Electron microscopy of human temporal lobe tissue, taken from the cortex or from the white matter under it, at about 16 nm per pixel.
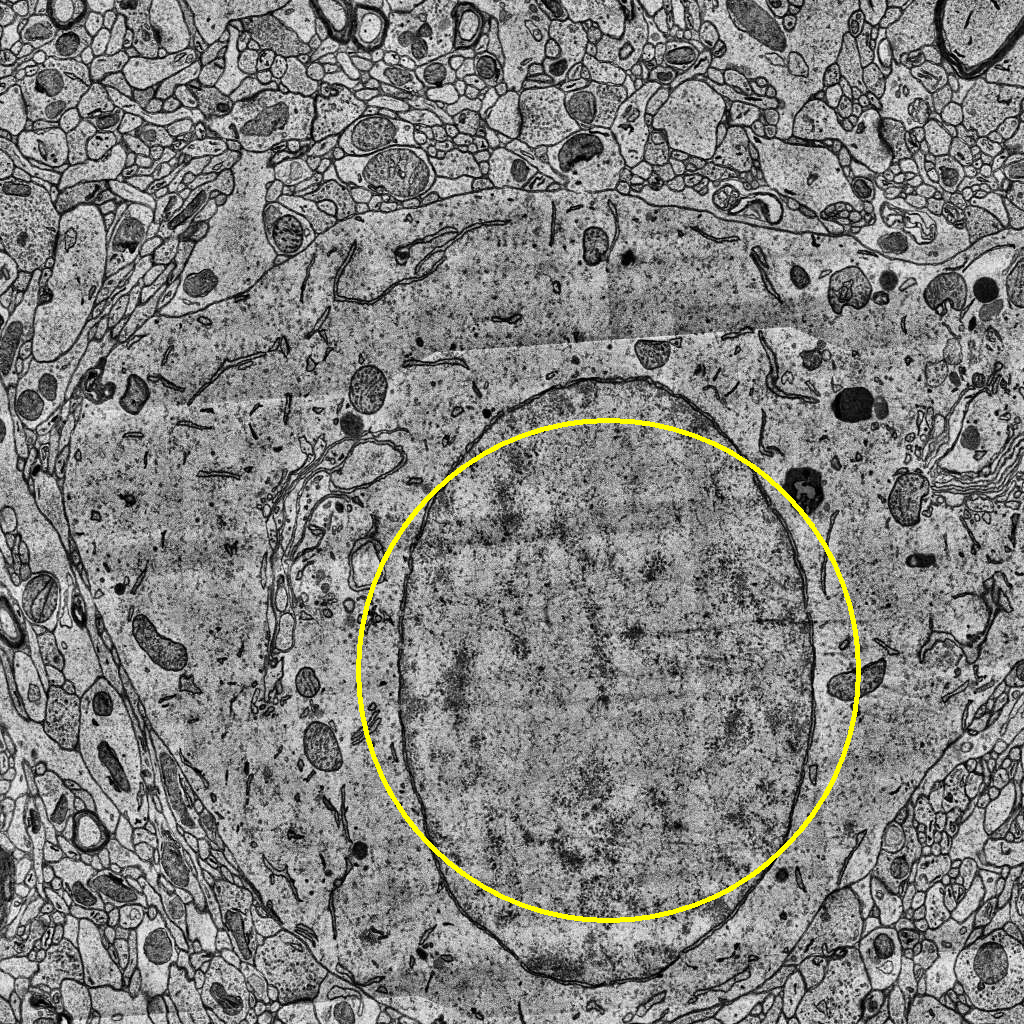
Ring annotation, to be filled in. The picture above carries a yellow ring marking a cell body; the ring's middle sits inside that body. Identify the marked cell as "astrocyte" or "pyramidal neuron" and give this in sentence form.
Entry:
The cell at the middle of the ring is a pyramidal neuron.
